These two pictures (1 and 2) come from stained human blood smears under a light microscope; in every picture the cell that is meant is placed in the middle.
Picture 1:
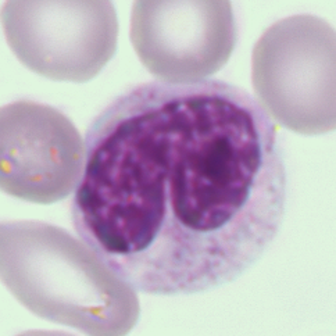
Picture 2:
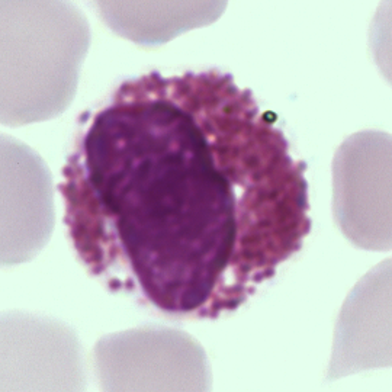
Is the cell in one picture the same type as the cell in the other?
no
